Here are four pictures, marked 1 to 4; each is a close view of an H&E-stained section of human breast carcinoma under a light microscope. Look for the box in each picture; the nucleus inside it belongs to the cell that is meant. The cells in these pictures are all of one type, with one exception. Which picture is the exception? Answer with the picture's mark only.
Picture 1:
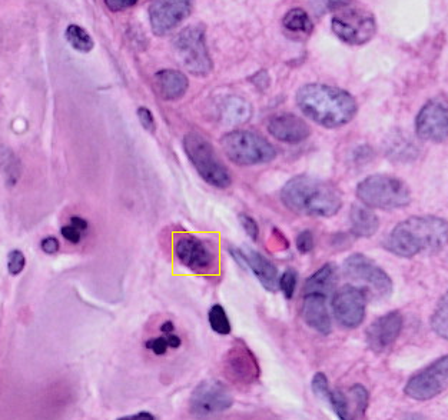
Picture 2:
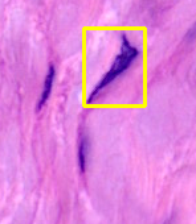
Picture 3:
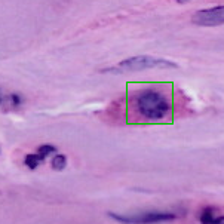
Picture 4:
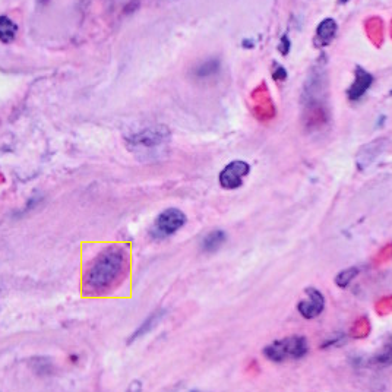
2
